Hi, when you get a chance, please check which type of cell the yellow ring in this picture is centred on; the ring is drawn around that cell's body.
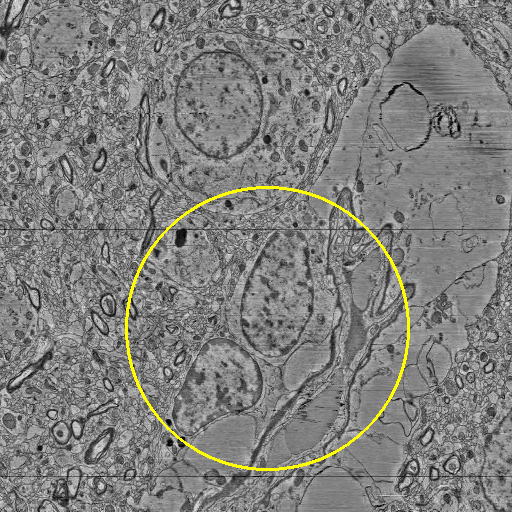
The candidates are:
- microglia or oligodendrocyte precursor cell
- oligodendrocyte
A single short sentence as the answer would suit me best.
The ring is drawn around the body of a microglial cell or oligodendrocyte precursor cell.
